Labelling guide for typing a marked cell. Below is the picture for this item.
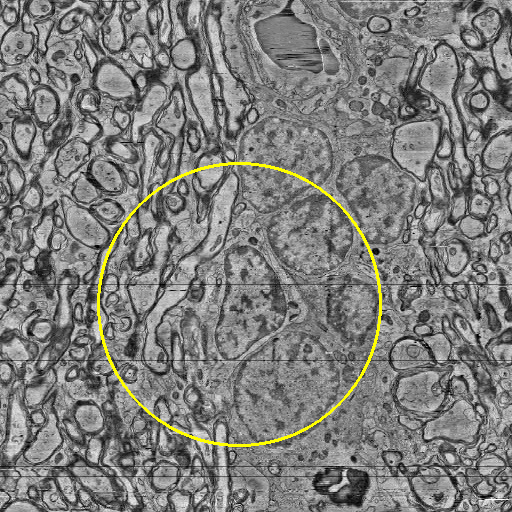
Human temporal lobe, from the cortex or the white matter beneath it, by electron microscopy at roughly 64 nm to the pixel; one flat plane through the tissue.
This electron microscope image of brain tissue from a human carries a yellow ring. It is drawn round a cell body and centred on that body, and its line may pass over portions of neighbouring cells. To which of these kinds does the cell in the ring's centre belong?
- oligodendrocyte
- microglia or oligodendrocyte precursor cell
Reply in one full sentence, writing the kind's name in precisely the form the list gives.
Here we have a microglial cell or oligodendrocyte precursor cell at the centre of the yellow ring in the picture.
